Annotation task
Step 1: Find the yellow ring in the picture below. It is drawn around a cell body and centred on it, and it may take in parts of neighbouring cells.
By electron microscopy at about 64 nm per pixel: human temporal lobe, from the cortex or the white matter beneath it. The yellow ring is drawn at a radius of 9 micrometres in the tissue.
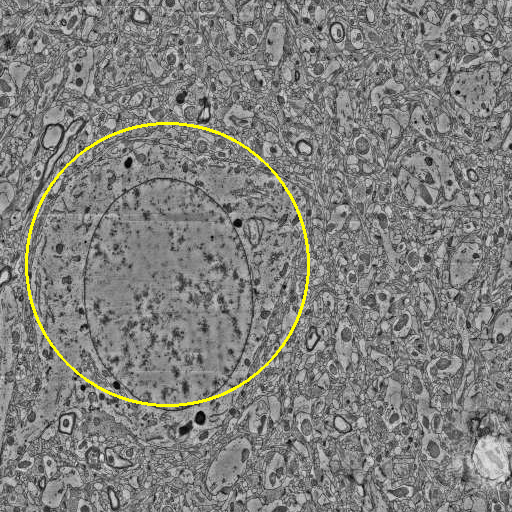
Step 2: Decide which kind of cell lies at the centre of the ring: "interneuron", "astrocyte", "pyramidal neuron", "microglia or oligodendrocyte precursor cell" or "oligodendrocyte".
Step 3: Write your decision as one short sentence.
The kind of cell at the ring's centre is a pyramidal neuron.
